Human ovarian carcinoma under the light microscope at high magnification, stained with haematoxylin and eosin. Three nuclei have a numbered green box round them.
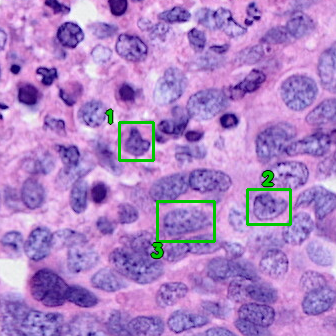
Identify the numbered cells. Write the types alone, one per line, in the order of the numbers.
macrophage or monocyte
macrophage or monocyte
carcinoma cell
